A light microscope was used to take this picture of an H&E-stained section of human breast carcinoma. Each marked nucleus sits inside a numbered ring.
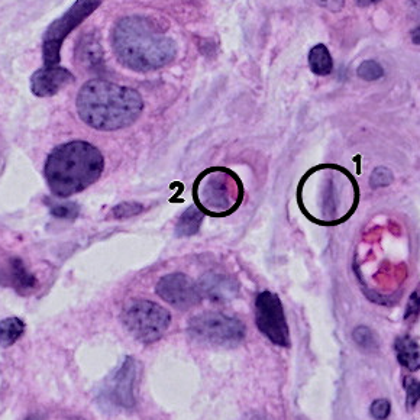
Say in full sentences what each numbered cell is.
Cell 1 is a fibroblast. Cell 2 is an endothelial cell.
